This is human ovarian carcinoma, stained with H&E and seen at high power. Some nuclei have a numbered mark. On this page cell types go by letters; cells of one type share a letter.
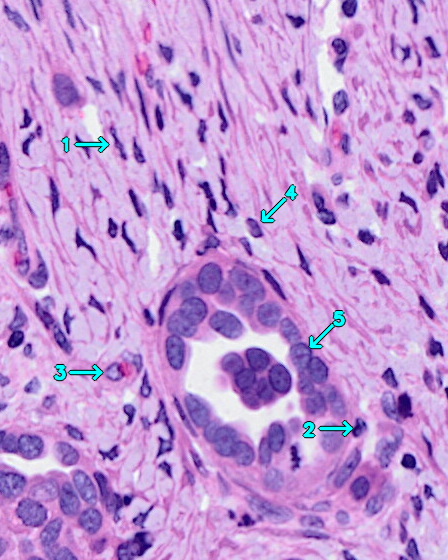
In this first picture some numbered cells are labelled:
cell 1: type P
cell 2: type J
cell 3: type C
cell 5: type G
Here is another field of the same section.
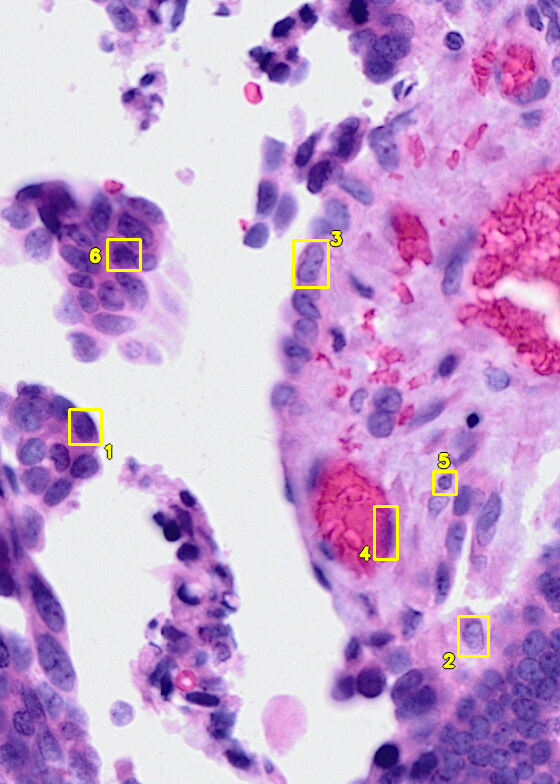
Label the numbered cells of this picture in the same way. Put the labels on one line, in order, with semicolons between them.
type G; type P; type G; type C; type J; type G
